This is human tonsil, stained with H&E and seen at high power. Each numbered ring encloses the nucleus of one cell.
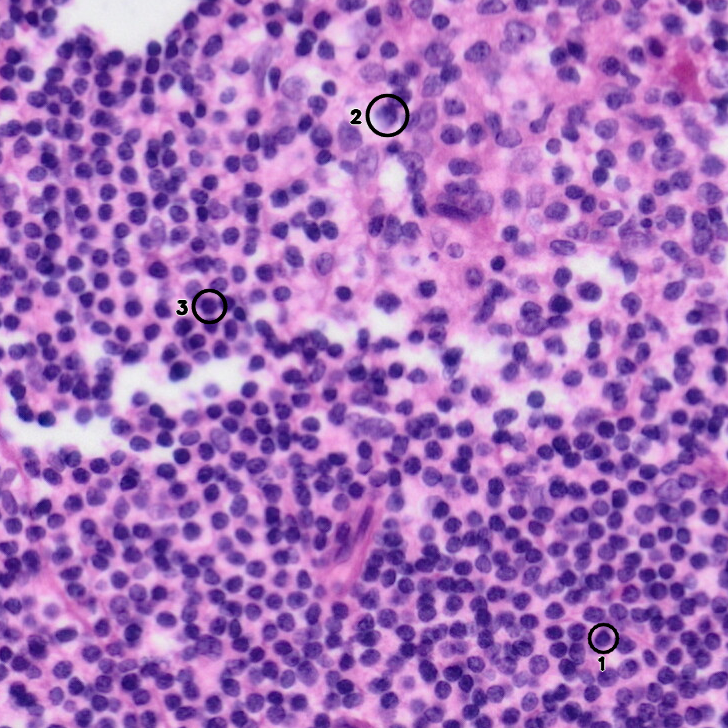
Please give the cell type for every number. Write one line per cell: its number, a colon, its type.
1: small lymphocyte
2: proliferating B cell
3: small lymphocyte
